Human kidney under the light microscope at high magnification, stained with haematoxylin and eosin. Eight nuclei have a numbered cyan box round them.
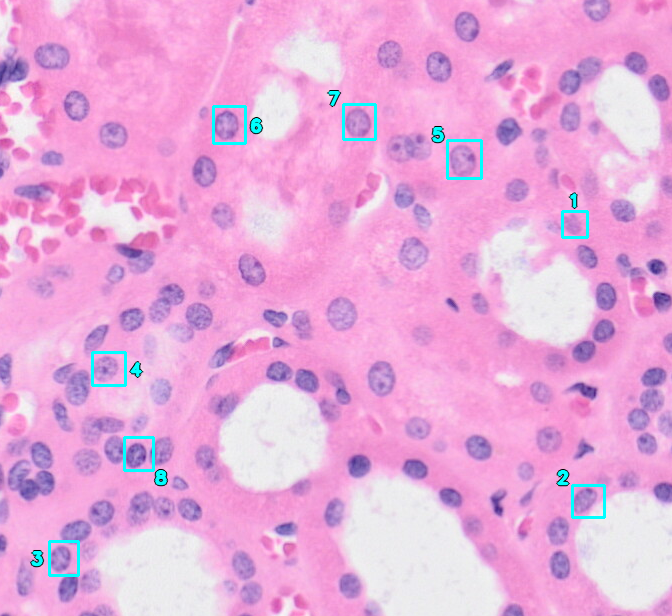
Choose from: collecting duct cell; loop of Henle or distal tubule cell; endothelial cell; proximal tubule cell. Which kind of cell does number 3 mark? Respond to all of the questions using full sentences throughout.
To a collecting duct cell belongs the nucleus marked 3.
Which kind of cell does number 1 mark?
The cell marked with number 1 is a loop of Henle or distal tubule cell.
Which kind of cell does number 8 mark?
Denoted by the label 8 in the section is a collecting duct cell.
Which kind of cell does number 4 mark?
The correct answer for cell 4 is a collecting duct cell.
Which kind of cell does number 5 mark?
The cell with the number 5 is a proximal tubule cell.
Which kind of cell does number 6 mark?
Classified as a proximal tubule cell is the cell with the number 6.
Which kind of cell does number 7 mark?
The marked cell bearing number 7 is a proximal tubule cell.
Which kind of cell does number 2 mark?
The cell referenced by the number 2 is a loop of Henle or distal tubule cell in this field.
